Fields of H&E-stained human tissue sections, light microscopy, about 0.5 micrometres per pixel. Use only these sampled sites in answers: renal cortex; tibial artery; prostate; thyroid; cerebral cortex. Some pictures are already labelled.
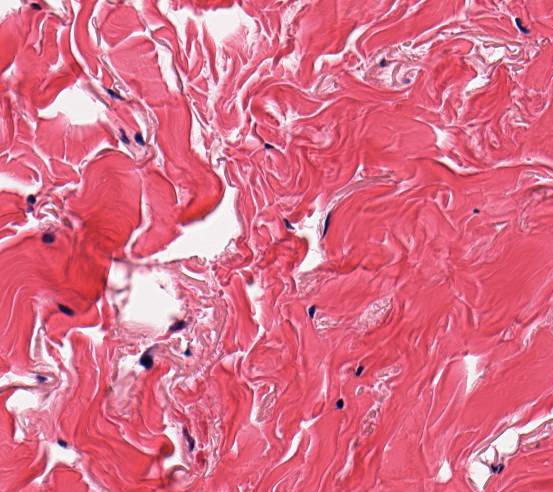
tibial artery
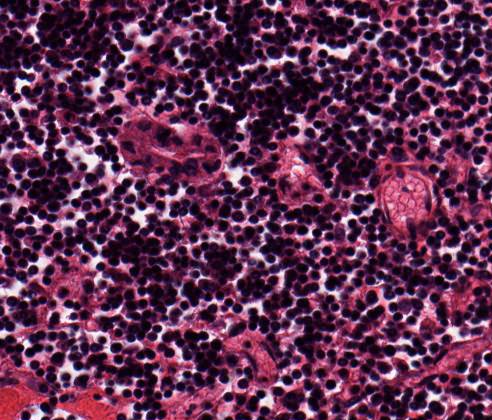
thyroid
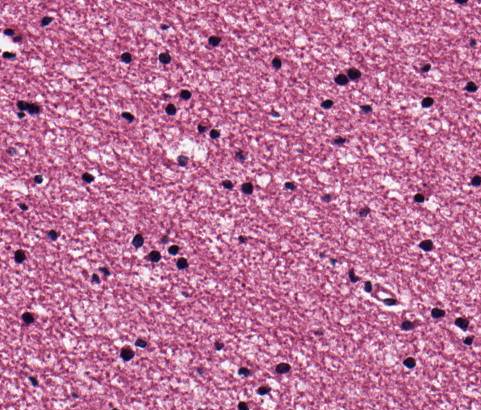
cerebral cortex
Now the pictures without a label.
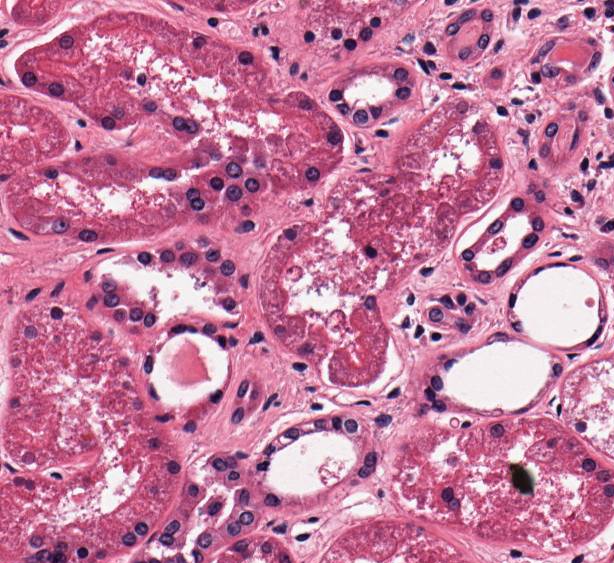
renal cortex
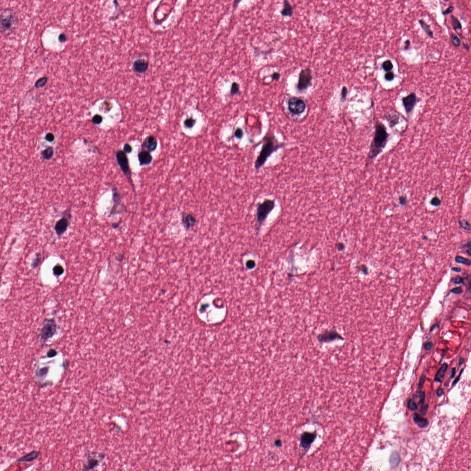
cerebral cortex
